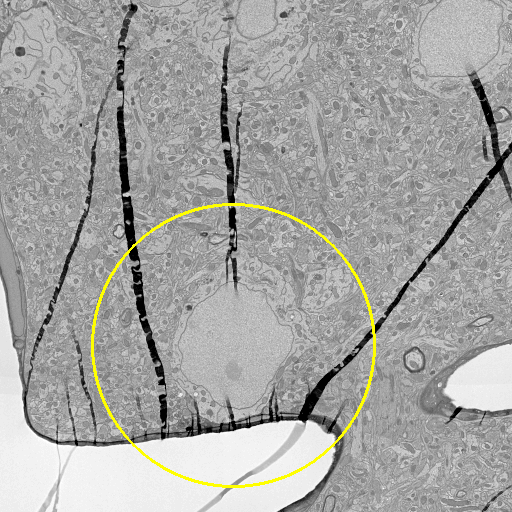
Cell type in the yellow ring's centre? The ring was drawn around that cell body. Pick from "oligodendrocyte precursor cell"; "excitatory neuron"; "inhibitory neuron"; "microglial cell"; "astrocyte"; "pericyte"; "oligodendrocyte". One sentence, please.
The ringed cell body is that of an excitatory neuron.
